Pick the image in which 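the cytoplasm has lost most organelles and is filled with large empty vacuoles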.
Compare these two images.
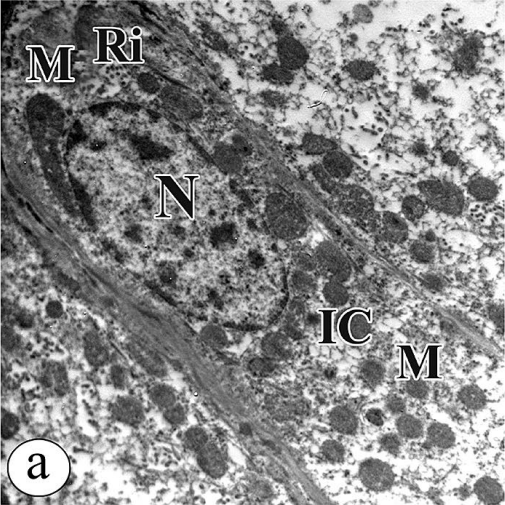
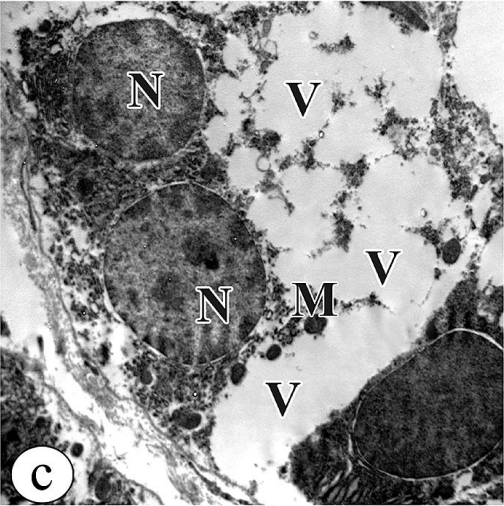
The second image.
